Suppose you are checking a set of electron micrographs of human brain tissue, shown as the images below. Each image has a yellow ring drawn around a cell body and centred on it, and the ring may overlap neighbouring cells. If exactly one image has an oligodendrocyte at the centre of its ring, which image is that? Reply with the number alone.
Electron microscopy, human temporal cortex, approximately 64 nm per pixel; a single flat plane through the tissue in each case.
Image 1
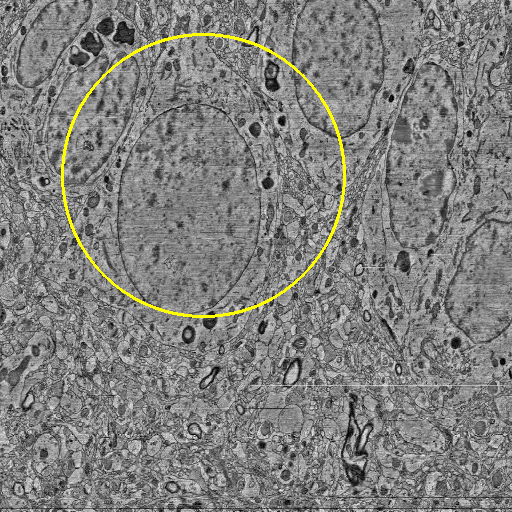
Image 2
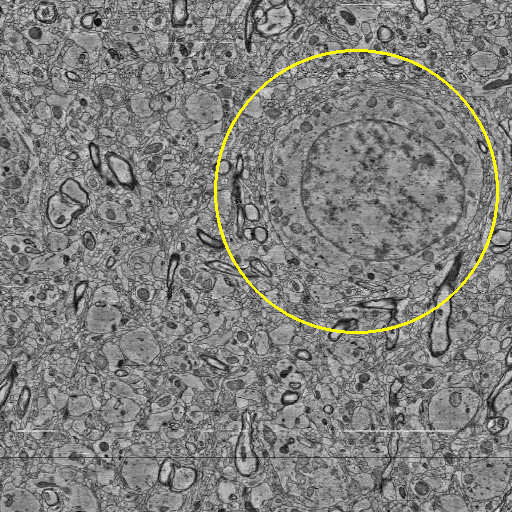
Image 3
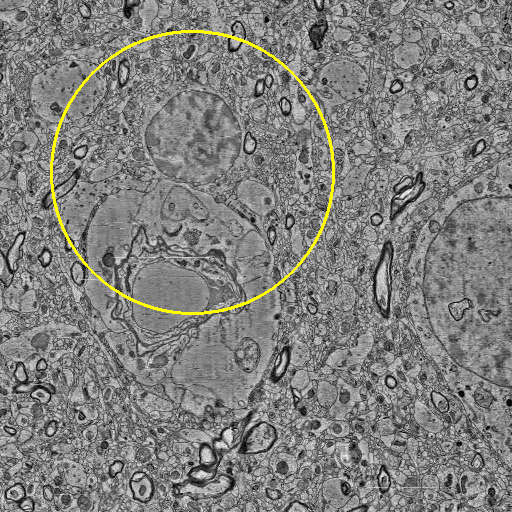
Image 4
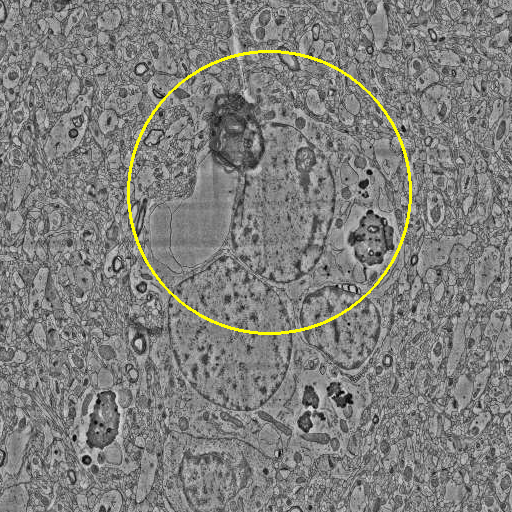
3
